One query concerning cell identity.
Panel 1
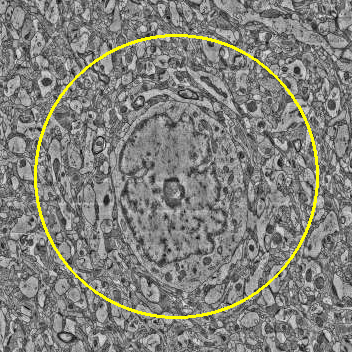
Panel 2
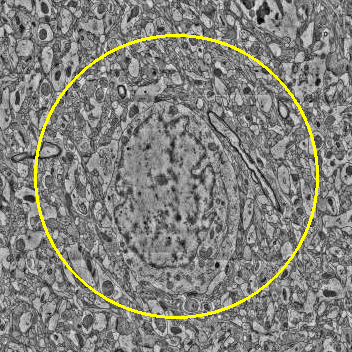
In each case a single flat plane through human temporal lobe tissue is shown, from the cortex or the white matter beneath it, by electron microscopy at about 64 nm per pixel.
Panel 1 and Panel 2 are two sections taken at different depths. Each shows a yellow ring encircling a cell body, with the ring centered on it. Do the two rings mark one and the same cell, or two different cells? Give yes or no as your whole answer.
yes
